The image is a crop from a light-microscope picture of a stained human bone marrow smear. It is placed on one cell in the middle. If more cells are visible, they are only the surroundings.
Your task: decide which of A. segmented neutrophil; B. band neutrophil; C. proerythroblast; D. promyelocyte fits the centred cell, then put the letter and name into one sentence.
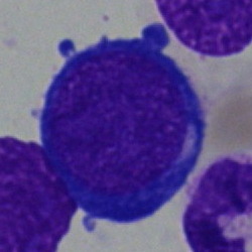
The right choice is option C: the cell in the middle is a proerythroblast.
